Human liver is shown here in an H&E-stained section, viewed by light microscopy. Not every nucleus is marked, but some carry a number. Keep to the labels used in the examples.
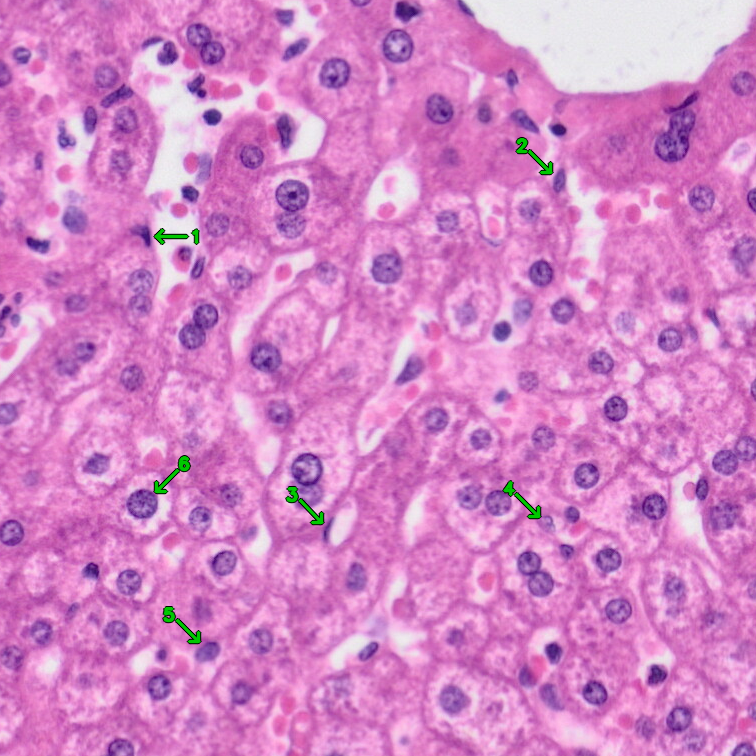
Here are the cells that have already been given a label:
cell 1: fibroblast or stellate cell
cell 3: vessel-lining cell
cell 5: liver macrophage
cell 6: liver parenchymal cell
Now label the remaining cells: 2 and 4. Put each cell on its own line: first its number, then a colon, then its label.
2: liver macrophage
4: liver macrophage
